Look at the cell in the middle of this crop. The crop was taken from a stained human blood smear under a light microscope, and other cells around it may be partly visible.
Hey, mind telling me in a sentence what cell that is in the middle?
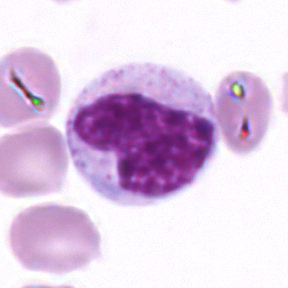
The crop's centre is taken up by a metamyelocyte.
